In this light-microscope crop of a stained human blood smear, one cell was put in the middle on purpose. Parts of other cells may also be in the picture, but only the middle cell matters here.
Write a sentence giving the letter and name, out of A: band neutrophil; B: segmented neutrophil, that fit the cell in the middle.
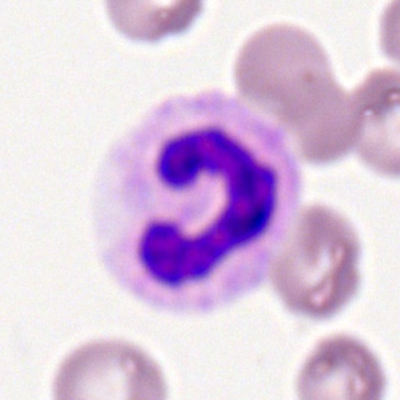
The central cell in this crop is a band neutrophil, so the correct choice is option A.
